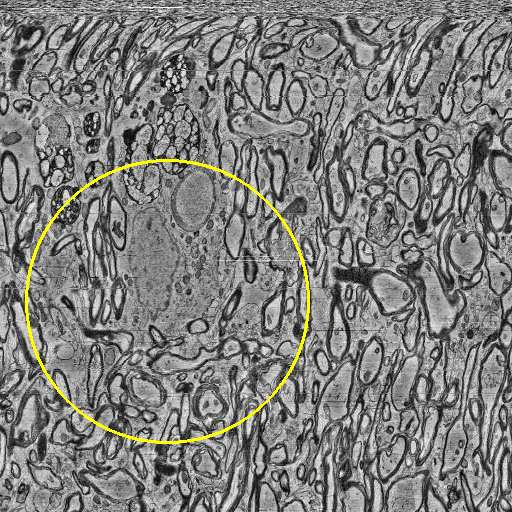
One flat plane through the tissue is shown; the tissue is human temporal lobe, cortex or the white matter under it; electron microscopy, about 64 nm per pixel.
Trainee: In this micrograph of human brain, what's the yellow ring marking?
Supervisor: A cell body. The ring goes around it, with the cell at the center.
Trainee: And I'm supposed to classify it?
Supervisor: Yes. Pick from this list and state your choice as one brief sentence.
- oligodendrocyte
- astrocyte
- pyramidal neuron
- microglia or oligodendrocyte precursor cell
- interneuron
The cell at the ring's center is an astrocyte.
